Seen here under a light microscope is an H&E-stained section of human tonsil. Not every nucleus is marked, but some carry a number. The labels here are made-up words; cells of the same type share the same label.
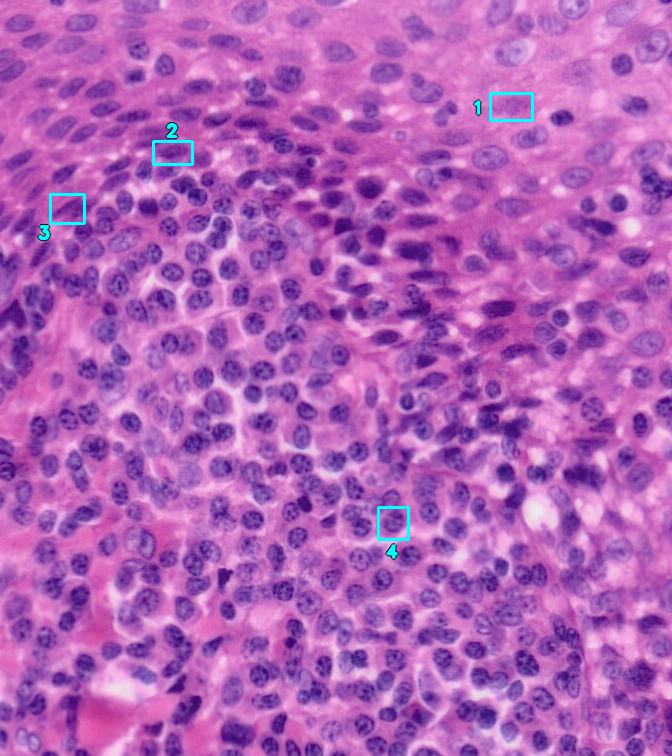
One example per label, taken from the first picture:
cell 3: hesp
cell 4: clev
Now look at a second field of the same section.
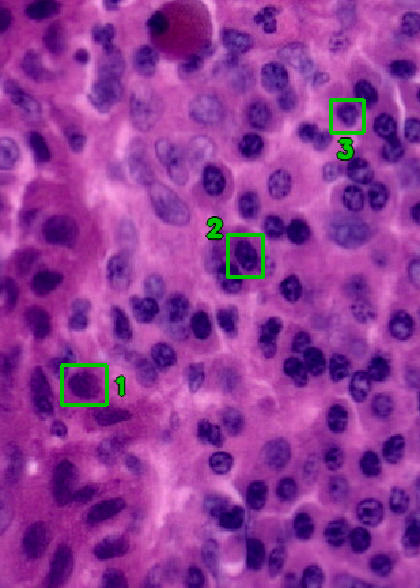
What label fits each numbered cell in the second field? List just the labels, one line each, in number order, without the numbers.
hesp
clev
clev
